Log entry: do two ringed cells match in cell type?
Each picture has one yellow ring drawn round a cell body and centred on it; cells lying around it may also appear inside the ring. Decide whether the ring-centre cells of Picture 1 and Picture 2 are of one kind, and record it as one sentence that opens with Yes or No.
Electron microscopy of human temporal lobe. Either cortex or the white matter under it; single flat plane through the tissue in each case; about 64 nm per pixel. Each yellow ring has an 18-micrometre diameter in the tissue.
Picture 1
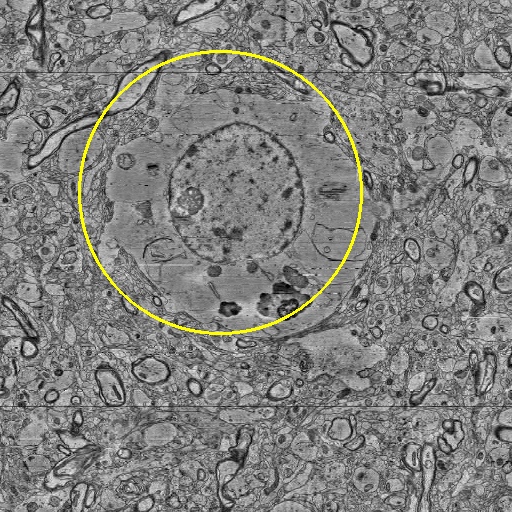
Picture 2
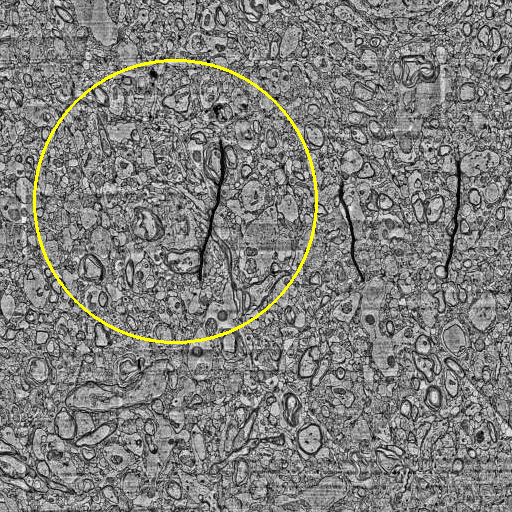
No, the cells at the ring centres of the two pictures belong to two kinds.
